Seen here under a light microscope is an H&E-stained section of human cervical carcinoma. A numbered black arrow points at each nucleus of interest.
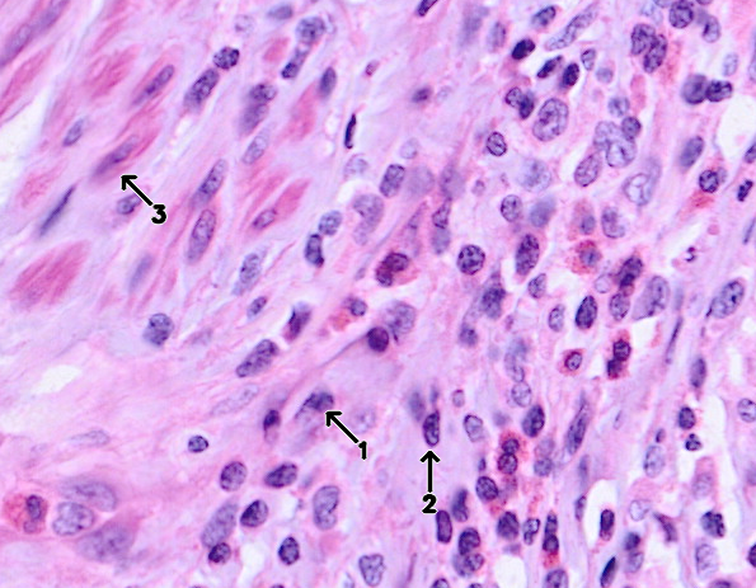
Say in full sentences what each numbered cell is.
Cell 1 is a lymphocyte, cell 2 is a lymphocyte and cell 3 is a smooth muscle cell.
